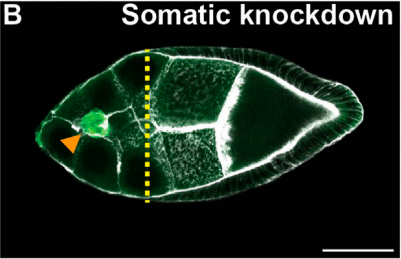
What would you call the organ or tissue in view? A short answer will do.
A: Follicles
